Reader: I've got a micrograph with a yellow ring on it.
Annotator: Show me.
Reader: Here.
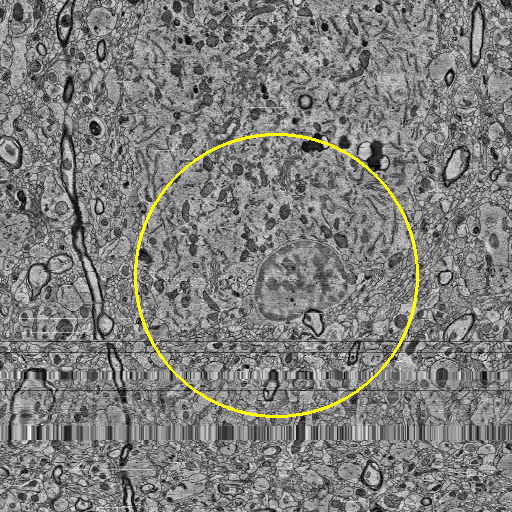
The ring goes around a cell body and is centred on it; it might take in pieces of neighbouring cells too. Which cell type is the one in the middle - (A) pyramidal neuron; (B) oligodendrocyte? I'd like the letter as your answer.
B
